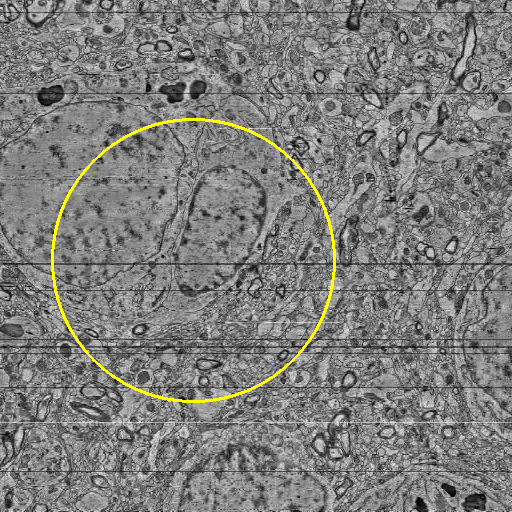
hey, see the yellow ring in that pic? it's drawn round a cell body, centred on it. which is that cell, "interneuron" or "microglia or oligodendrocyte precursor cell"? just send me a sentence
The cell in the ring is a microglial cell or oligodendrocyte precursor cell.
